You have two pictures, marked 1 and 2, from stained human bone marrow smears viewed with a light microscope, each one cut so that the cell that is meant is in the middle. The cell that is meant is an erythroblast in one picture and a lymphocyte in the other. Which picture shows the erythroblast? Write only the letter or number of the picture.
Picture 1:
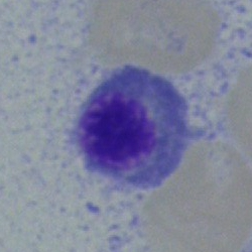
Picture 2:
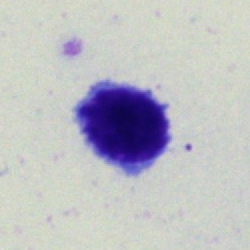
1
